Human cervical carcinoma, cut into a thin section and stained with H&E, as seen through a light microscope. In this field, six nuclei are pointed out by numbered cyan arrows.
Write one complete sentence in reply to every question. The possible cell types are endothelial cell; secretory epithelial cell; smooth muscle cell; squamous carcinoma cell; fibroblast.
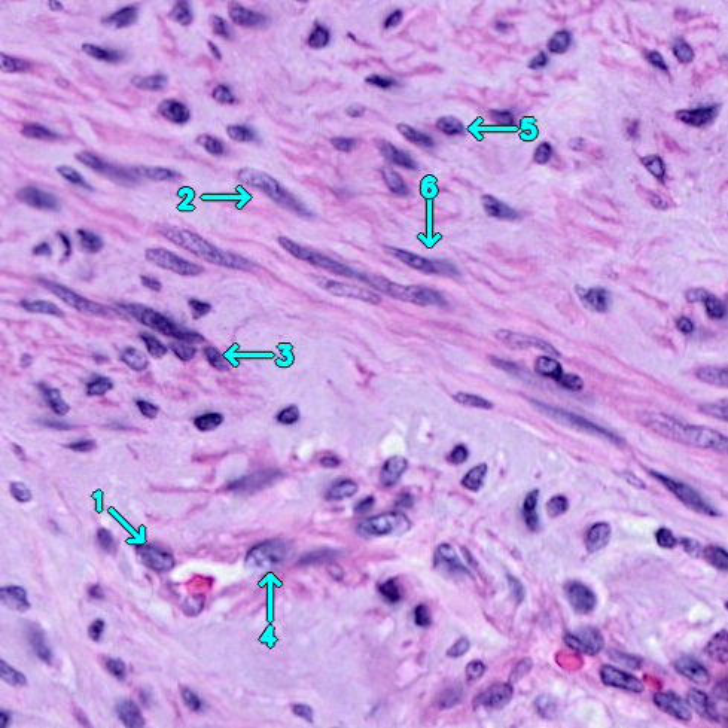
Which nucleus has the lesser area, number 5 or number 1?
With nucleus 1 about 2 times its size, nucleus 5 is the smaller of the two.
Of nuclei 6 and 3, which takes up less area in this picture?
Nucleus 3 covers less area, with nucleus 6 about 3 times as large.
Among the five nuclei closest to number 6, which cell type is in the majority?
Smooth muscle cells account for more than half of the five nuclei nearest to number 6.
